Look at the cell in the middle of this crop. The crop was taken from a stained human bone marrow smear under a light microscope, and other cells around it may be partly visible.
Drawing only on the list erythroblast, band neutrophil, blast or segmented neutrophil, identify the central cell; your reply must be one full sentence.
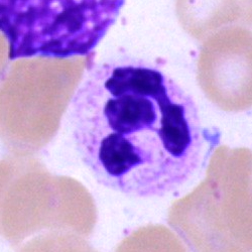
The cell sitting right in the middle is a segmented neutrophil.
